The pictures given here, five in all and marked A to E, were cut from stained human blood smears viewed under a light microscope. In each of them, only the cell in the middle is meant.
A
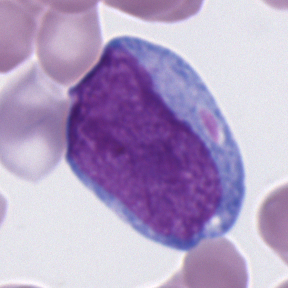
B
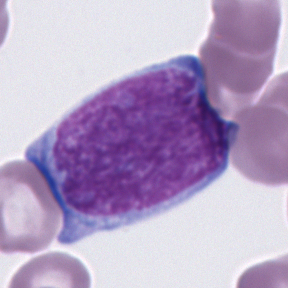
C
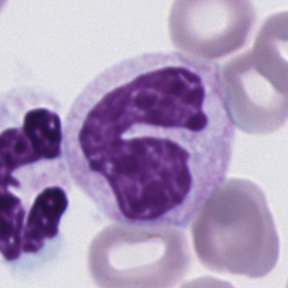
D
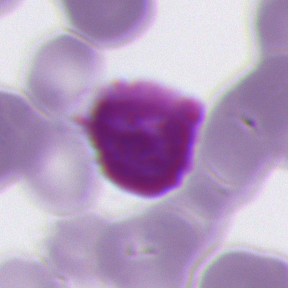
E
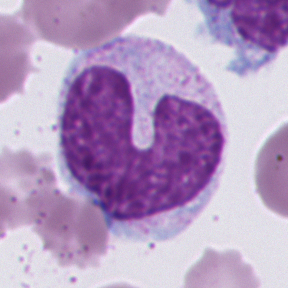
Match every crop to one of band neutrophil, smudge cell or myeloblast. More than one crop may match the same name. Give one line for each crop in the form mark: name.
A: myeloblast
B: myeloblast
C: band neutrophil
D: smudge cell
E: band neutrophil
